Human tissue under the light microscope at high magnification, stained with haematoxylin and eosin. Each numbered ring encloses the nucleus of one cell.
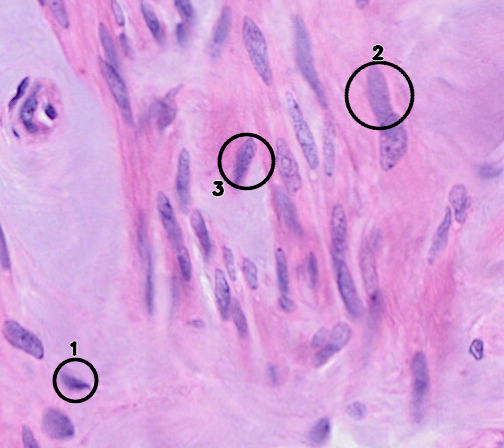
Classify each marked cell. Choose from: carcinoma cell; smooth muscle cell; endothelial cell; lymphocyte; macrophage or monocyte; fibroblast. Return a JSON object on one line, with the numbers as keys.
{"1": "fibroblast", "2": "smooth muscle cell", "3": "smooth muscle cell"}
